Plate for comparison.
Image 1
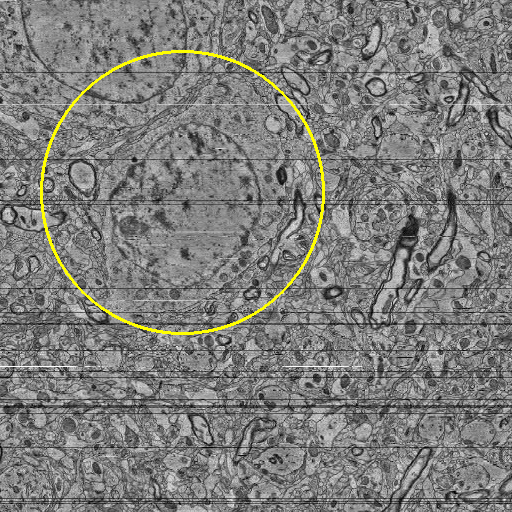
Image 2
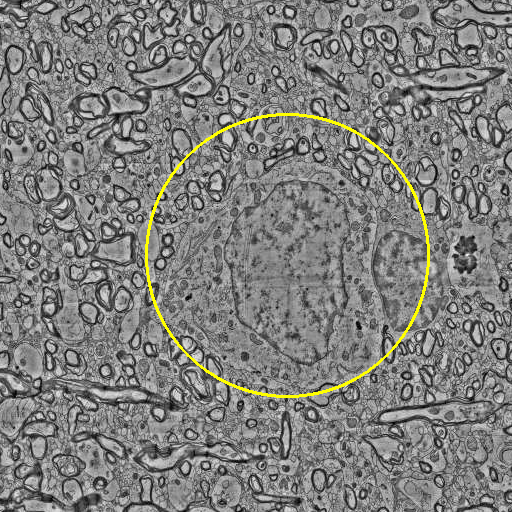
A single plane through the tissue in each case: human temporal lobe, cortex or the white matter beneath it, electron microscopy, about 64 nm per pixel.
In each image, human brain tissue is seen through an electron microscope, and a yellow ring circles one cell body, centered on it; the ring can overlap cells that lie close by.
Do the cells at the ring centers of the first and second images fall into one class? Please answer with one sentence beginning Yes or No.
Yes, the first and second images show a single class of cell at the ring centers.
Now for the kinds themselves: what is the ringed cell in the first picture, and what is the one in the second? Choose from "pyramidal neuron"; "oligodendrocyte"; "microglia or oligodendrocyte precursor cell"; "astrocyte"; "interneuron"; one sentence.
In each picture the ringed cell is an interneuron.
